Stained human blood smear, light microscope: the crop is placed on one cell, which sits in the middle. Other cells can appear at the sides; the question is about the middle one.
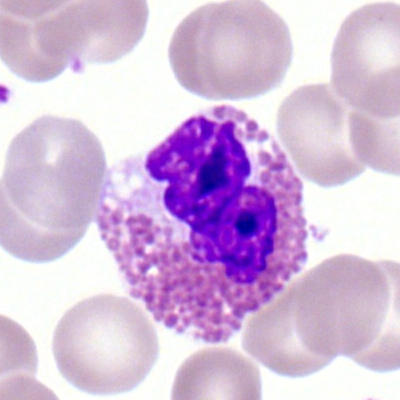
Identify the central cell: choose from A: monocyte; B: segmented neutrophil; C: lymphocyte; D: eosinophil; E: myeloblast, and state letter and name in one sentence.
The cell occupying the centre is an eosinophil; option D is thus the correct choice.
